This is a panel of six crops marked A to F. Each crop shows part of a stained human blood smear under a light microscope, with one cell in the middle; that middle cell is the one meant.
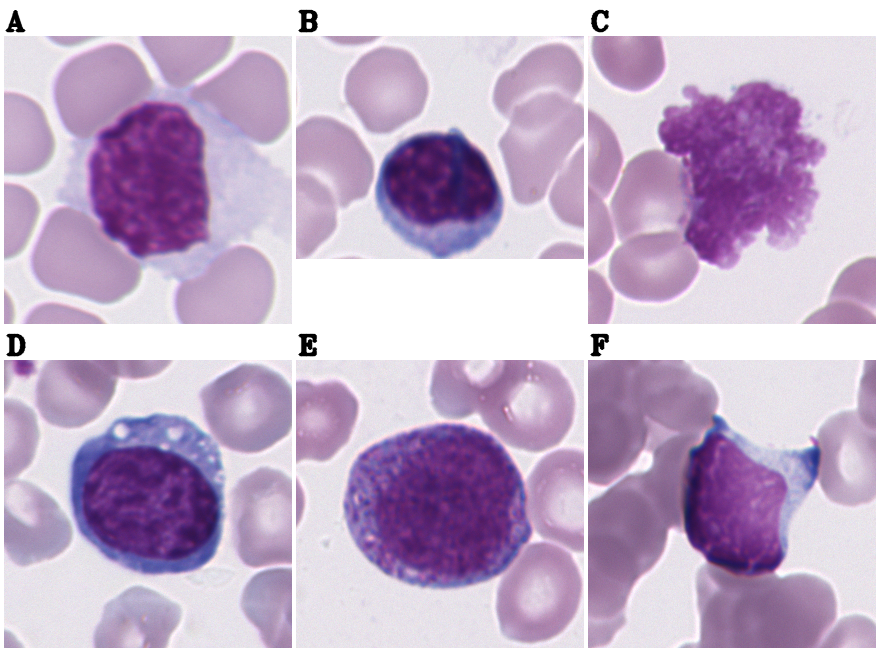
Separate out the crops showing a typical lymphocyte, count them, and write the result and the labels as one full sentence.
Of the crops, those showing typical lymphocytes are B and F, two altogether.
